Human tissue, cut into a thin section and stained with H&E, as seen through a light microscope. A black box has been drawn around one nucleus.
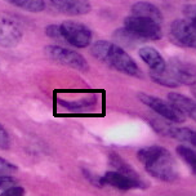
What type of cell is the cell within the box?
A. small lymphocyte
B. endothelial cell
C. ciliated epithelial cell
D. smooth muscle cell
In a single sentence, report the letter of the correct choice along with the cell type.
Settle on option B; the cell within the box is an endothelial cell.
